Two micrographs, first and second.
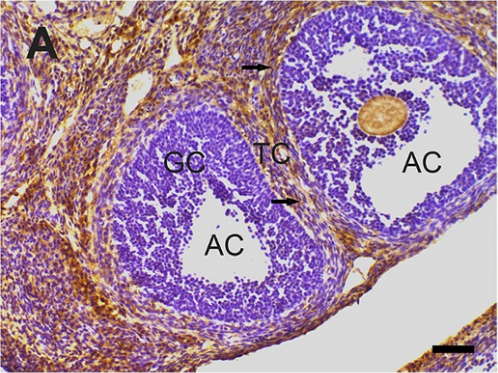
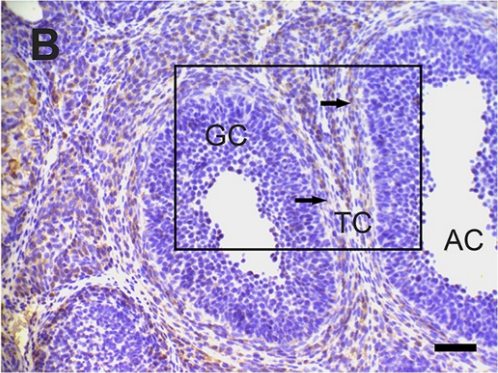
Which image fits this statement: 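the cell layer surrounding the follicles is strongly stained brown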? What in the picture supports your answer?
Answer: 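Second image: the outer layers around the follicles are mostly blue with only faint brown. First image: the outer layers around the follicles and the surrounding tissue are intensely brown. The answer: the first image.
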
